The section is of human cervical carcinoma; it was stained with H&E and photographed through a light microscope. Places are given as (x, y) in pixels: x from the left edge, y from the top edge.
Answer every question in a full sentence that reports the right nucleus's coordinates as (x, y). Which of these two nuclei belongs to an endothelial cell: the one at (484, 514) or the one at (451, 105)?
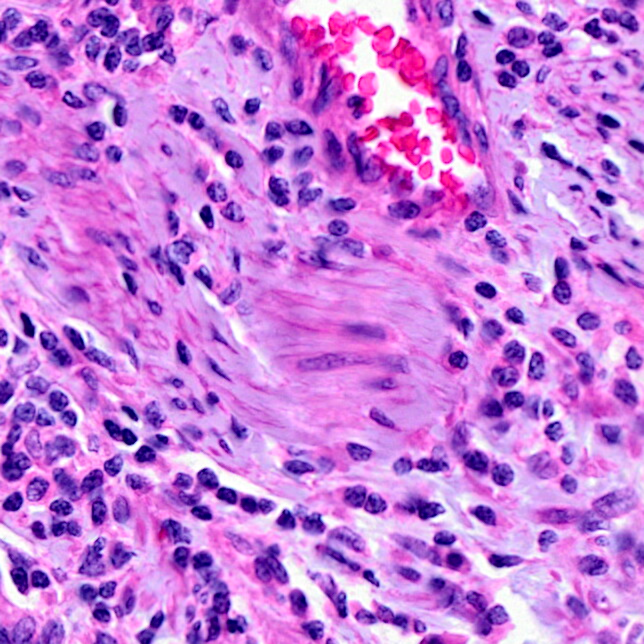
The nucleus of the pair that lies within an endothelial cell is at (451, 105).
